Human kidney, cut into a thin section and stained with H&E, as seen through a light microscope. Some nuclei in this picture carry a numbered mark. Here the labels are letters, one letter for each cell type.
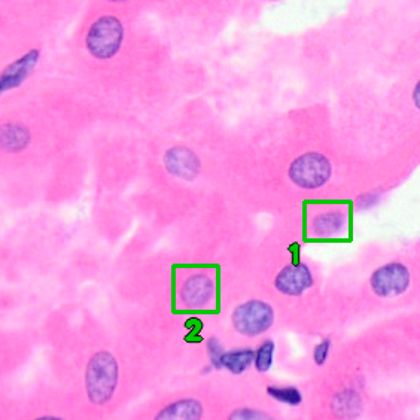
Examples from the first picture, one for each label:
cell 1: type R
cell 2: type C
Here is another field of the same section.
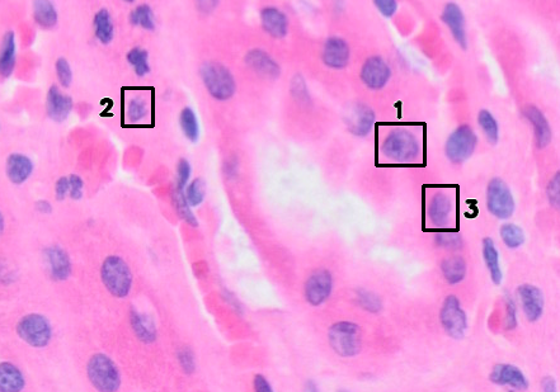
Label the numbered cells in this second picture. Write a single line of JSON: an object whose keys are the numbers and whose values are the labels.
{"1": "type C", "2": "type R", "3": "type C"}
